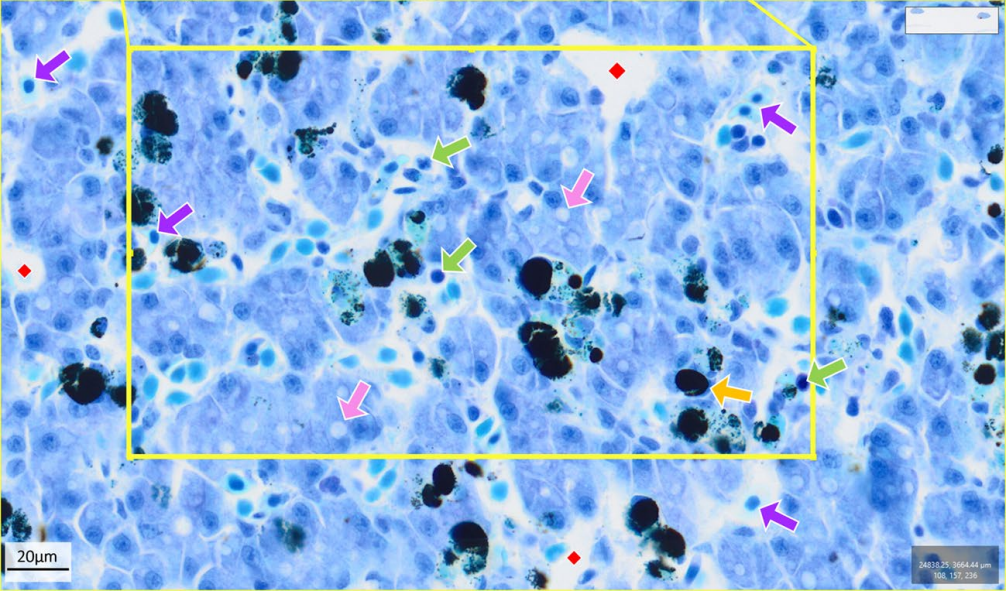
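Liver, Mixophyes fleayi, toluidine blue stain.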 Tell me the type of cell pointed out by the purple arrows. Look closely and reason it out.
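The arrows point to small oval cells with a dark central nucleus. These cells lie within the pale spaces between the hepatocyte cords. The answer: erythrocytes.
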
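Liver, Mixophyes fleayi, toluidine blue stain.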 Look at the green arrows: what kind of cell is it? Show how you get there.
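The arrows point to small, round, darkly stained cells much smaller than the hepatocytes. They lie between the hepatocytes, near the vascular spaces. On this evidence: immune cells.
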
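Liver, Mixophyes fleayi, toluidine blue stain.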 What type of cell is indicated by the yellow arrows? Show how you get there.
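Melanomacrophage assemblages. The black pigmented clusters lie scattered between the hepatocytes, some as solid black round masses, others as finer granules.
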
